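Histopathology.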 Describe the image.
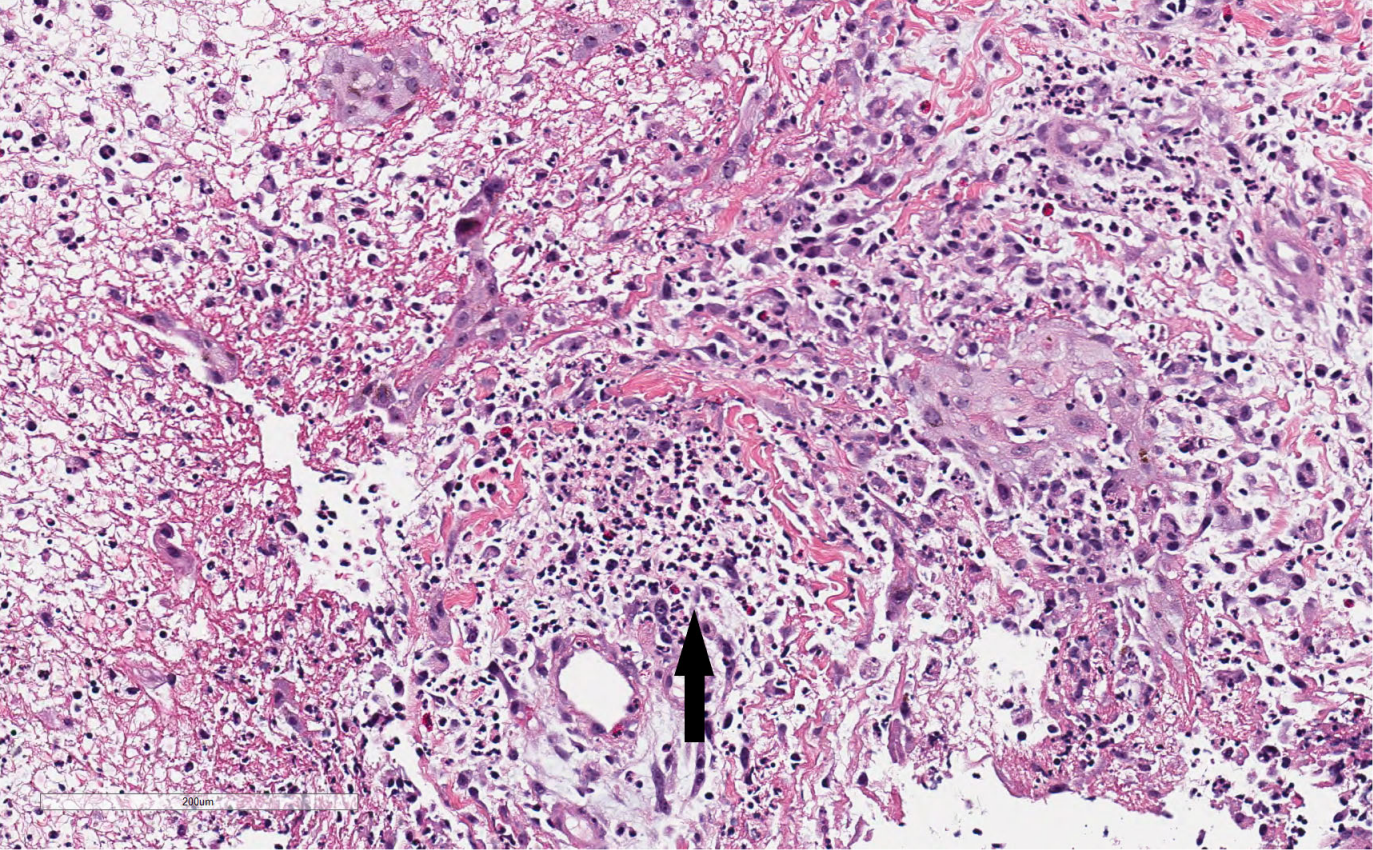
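A dense collection of small cells with dark, fragmented, lobed nuclei lies between pink collagen bundles, and some scattered cells have bright red-orange cytoplasm. Inflammatory cells crowd around small blood vessels with round open lumina. Elsewhere the stroma is loose and pale, with larger cells that have abundant pink cytoplasm.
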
